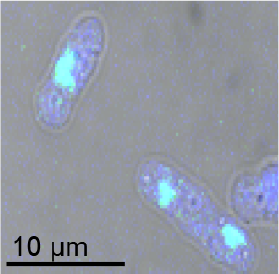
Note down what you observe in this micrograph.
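Fission yeast cells seen by differential interference contrast with fluorescence overlay. Cells are rod-shaped with rounded ends, bounded by a distinct wall outline, lying singly on a grey background. Cytoplasm appears granular. Faint blue haze fills the cytoplasm around the spots.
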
